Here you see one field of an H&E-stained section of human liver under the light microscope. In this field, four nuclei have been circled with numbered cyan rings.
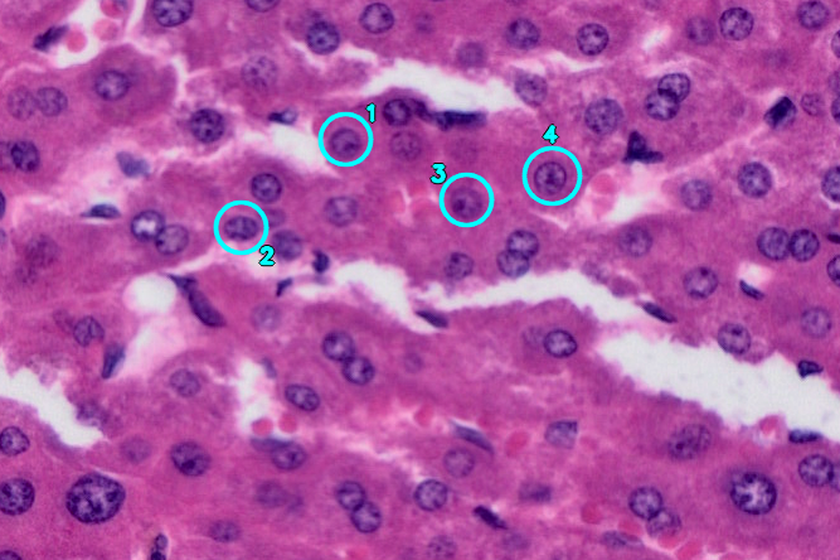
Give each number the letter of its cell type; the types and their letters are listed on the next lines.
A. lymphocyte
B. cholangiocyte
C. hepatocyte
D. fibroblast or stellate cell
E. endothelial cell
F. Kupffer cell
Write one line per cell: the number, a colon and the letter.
1: C
2: B
3: C
4: C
